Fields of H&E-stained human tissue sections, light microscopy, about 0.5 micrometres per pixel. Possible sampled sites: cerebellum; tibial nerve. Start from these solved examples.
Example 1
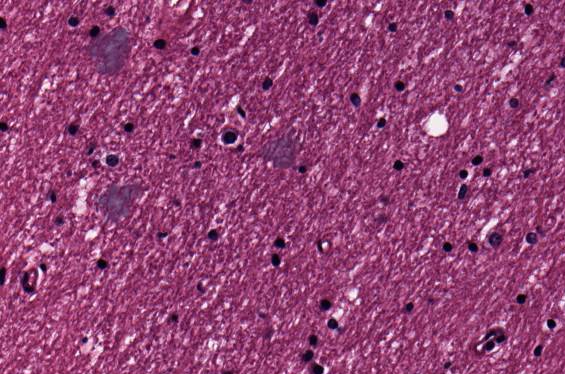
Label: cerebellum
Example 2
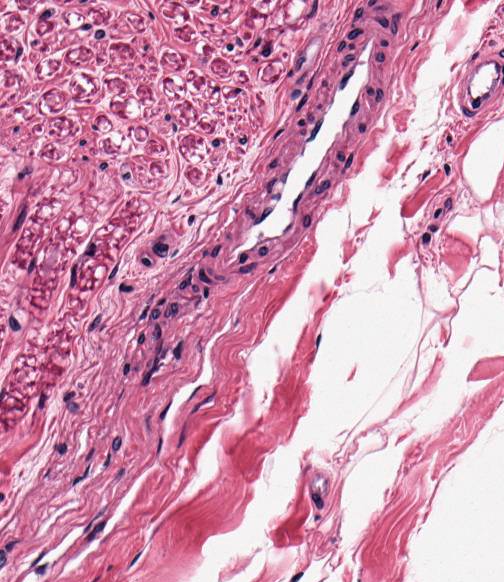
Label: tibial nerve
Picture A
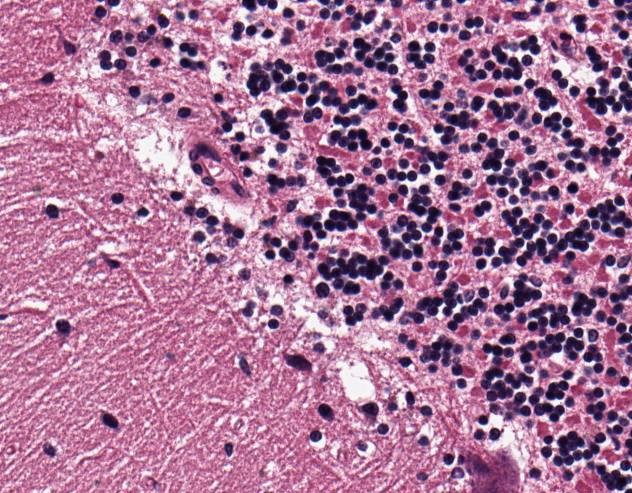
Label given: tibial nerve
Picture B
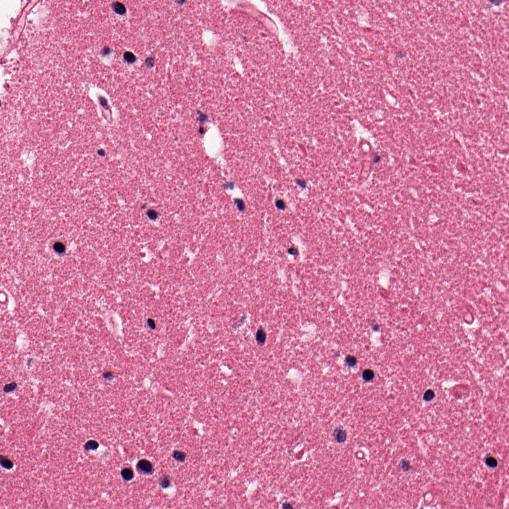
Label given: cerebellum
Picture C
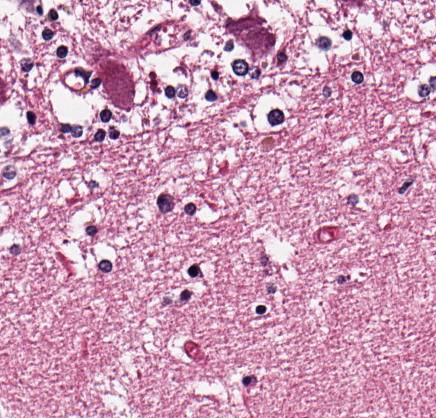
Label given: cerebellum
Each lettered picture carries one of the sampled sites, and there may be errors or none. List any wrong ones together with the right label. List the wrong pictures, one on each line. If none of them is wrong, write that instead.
Wrong: A (tibial nerve); correct: cerebellum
